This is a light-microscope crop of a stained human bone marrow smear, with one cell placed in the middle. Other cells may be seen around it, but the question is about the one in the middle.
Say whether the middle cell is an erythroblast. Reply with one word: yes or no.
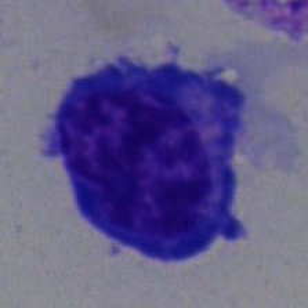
yes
